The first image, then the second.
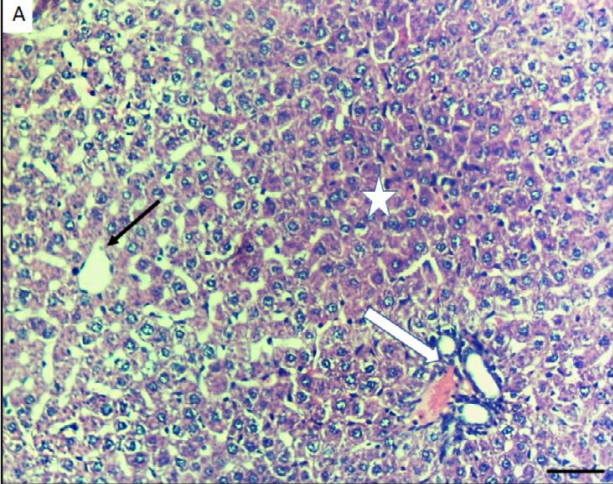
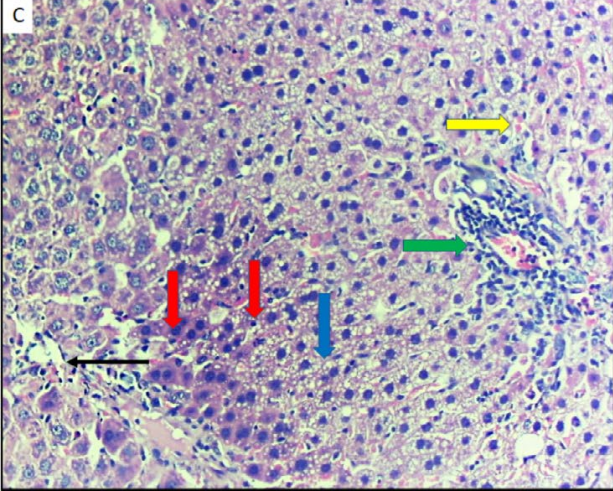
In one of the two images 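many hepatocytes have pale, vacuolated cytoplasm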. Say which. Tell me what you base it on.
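The second image. Second image: large areas of hepatocytes with pale, foamy cytoplasm full of small clear spaces. First image: hepatocytes have evenly pink, granular cytoplasm without clear vacuoles.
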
